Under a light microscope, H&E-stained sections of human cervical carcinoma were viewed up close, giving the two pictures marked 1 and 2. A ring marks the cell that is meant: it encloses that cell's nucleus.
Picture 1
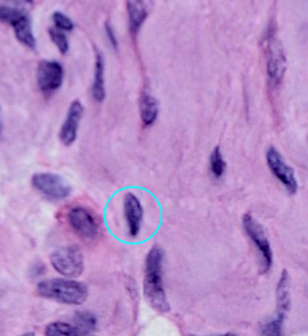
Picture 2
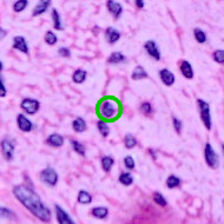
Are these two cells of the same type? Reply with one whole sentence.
No; the cell in picture 1 is a fibroblast, while the one in picture 2 is a smooth muscle cell.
